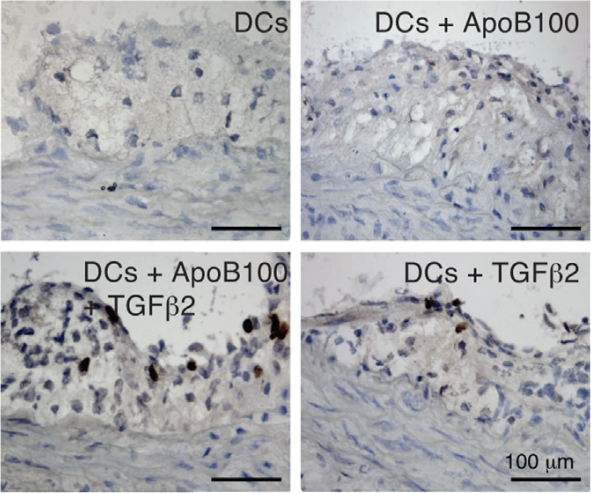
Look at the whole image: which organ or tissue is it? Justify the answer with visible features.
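Atherosclerotic plaques. A raised lesion bulges from the vessel wall into the lumen. The lesion contains pale, vacuolated, foamy material. Flattened, elongated cells with spindle nuclei lie in layers beneath the lesion.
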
